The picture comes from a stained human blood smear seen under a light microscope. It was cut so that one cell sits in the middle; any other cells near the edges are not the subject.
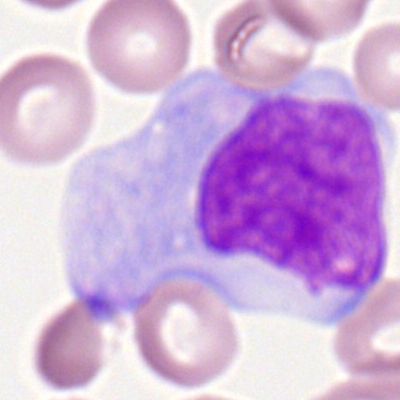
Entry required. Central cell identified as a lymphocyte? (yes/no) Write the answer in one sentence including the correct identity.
No, in the centre of the crop lies a monocyte, not a lymphocyte.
